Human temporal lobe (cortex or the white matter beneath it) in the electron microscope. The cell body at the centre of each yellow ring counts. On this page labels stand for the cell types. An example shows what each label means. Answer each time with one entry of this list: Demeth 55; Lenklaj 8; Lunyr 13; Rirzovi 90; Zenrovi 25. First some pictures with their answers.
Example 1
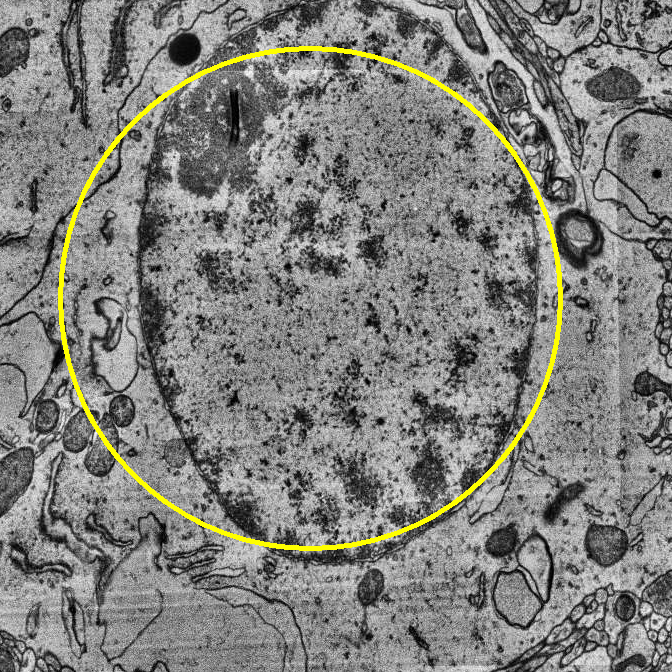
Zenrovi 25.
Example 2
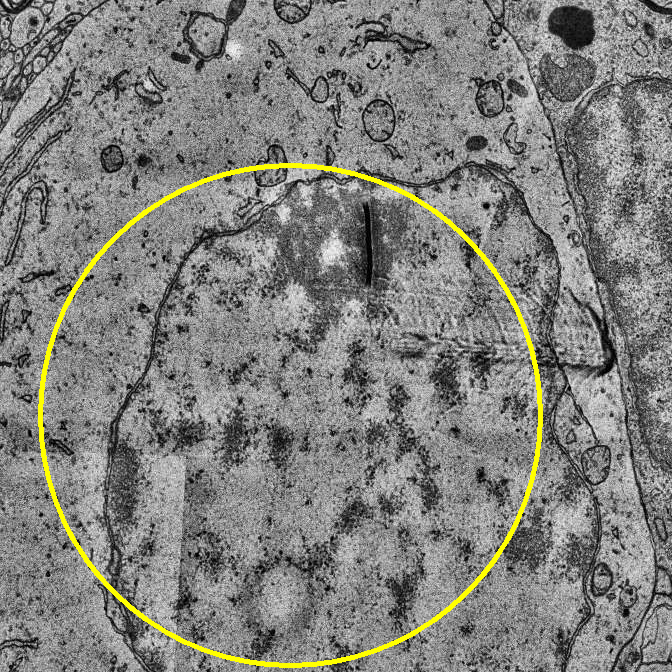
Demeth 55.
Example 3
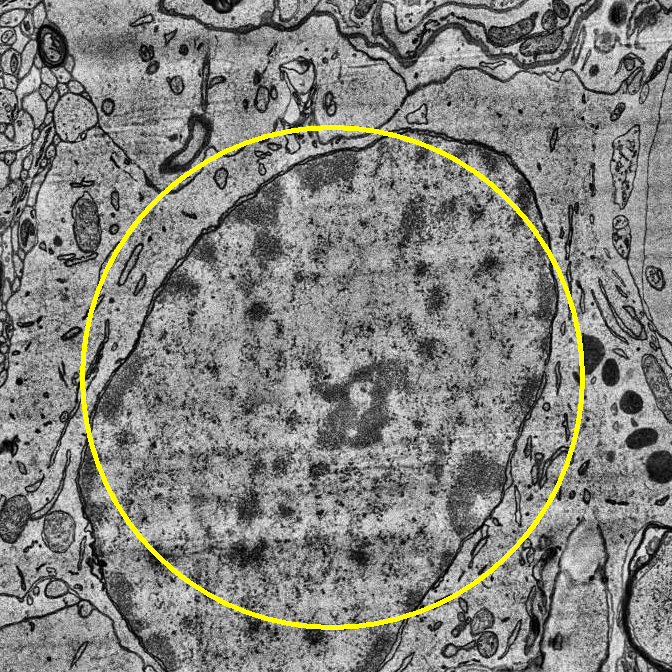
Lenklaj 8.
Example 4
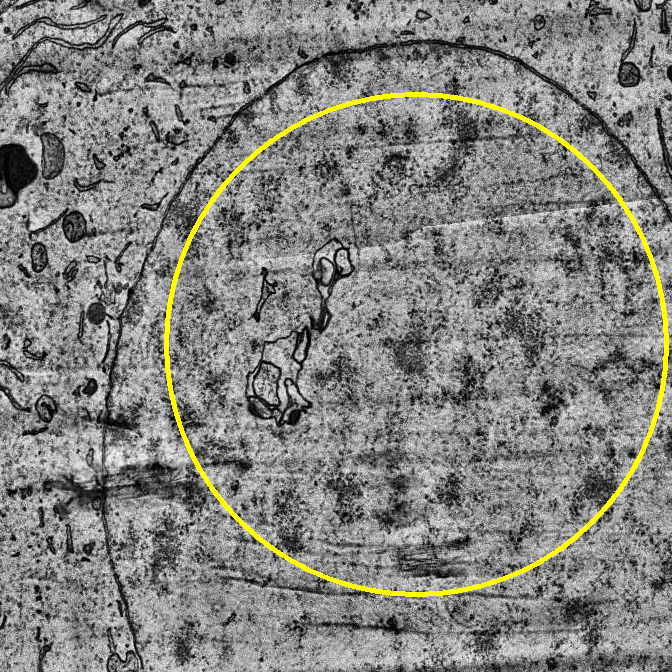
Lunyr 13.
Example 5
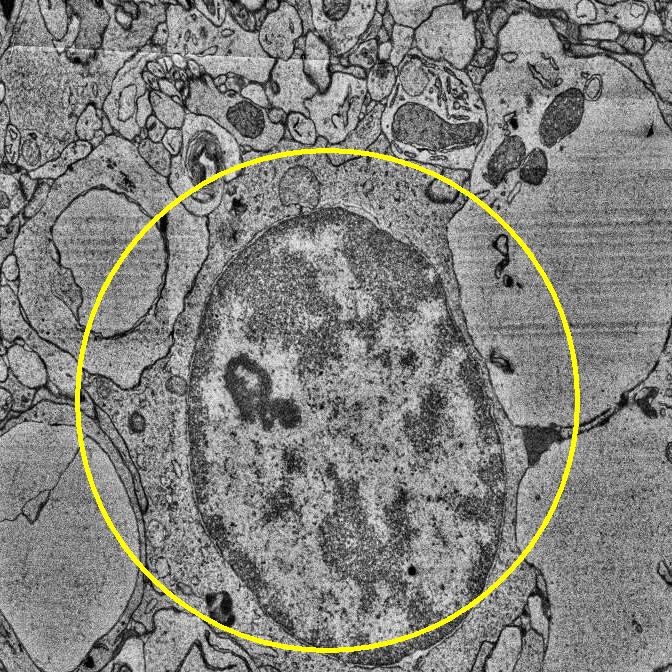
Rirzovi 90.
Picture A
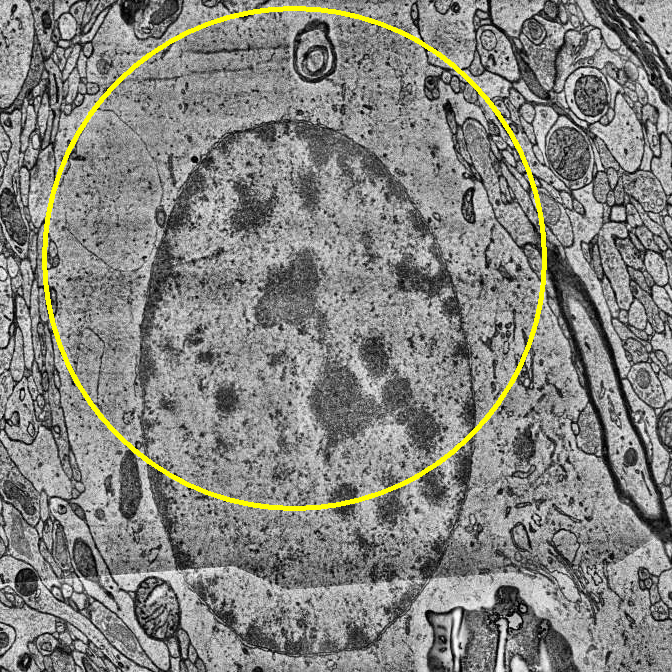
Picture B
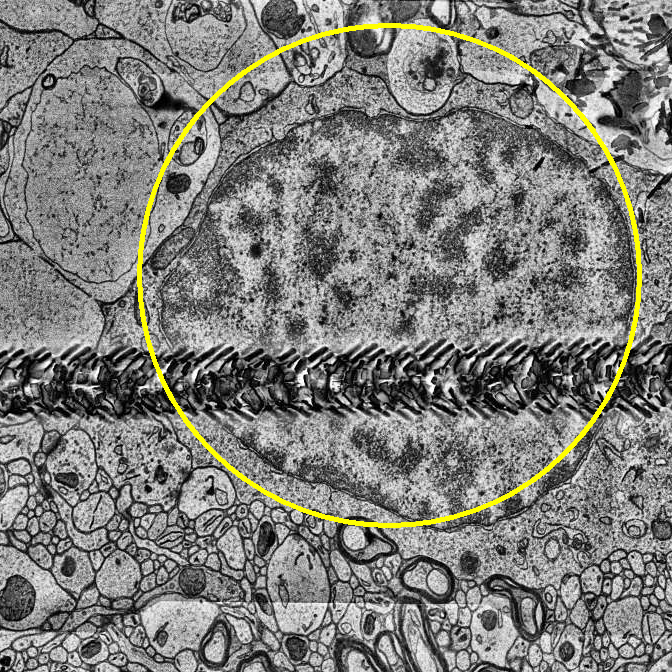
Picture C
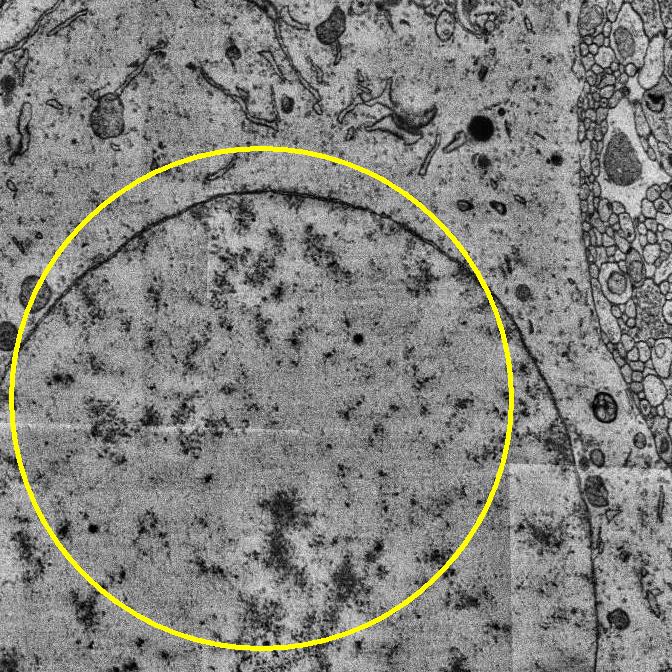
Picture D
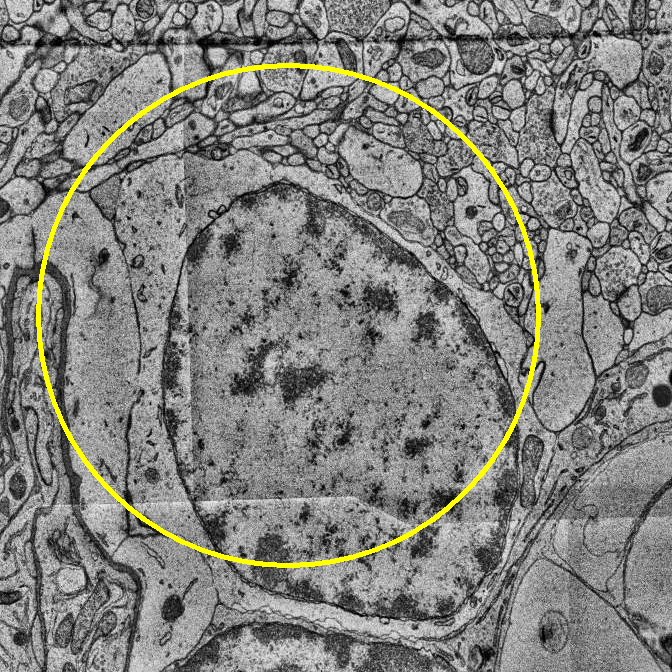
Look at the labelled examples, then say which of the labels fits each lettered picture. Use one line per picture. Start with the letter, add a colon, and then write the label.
A: Zenrovi 25.
B: Rirzovi 90.
C: Lunyr 13.
D: Lenklaj 8.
